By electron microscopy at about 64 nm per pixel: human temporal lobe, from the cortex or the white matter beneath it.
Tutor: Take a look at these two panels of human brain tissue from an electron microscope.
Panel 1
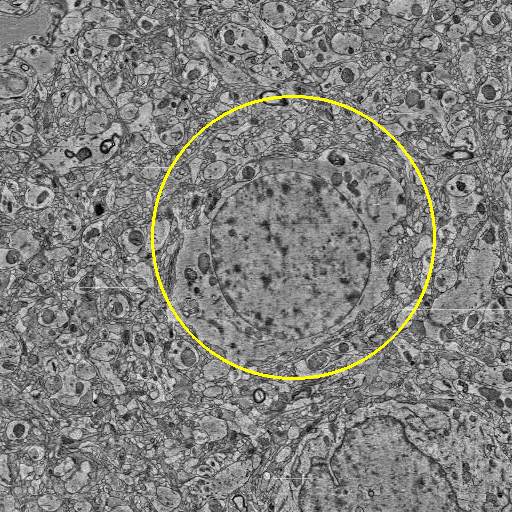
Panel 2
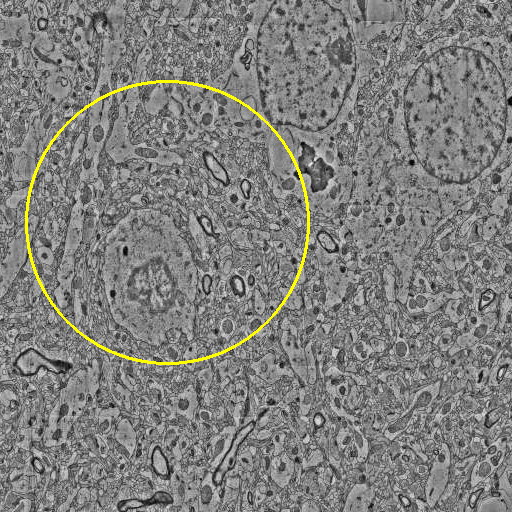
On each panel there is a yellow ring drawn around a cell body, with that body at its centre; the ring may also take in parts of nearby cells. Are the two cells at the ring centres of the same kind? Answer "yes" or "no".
no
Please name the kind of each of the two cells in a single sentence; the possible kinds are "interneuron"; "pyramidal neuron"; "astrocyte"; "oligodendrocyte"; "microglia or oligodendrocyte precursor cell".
In the first picture the ring is centred on an astrocyte, and in the second on a pyramidal neuron.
